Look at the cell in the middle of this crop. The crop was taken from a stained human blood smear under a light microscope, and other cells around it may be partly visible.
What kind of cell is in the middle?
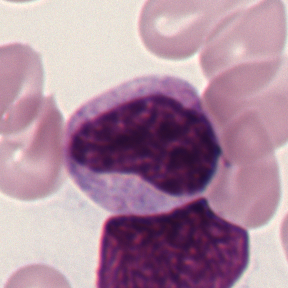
metamyelocyte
